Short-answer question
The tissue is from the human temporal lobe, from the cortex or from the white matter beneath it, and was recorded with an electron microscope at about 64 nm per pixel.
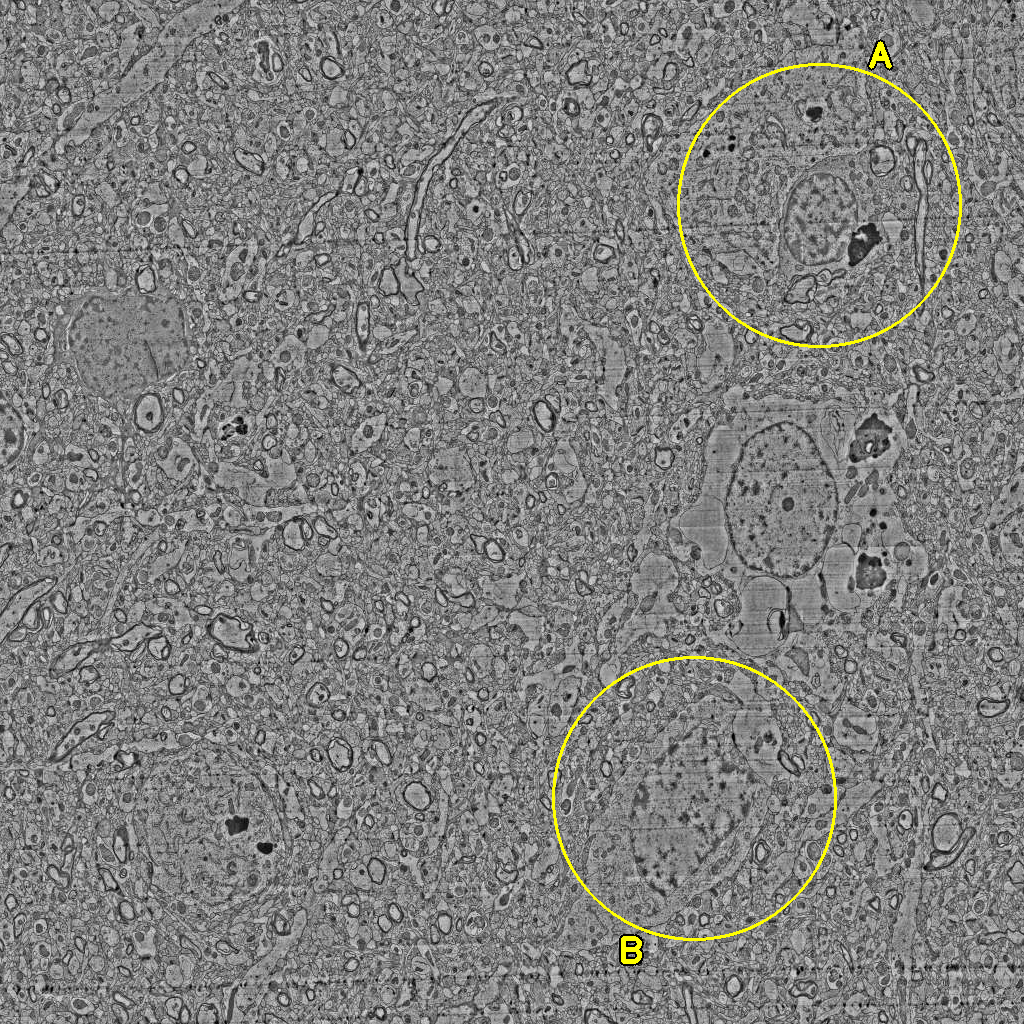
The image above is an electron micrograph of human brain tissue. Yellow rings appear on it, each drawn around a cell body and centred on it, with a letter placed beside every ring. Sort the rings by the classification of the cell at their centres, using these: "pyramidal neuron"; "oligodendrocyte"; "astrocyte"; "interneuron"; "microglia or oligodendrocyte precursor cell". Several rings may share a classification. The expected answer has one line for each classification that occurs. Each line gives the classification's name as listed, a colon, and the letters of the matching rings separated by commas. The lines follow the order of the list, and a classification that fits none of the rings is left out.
oligodendrocyte: A
interneuron: B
